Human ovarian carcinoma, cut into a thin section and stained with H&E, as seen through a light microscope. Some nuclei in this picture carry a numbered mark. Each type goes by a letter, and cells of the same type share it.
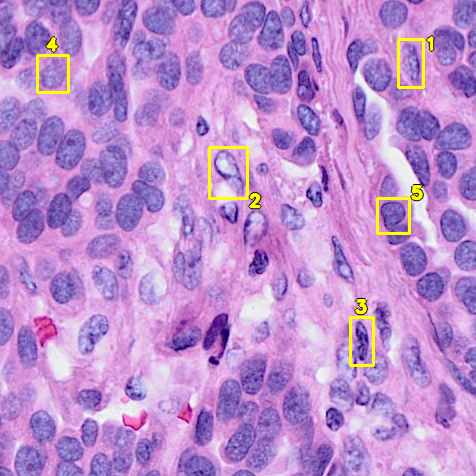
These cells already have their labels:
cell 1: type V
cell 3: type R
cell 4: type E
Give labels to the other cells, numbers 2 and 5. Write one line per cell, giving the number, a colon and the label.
2: type V
5: type E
